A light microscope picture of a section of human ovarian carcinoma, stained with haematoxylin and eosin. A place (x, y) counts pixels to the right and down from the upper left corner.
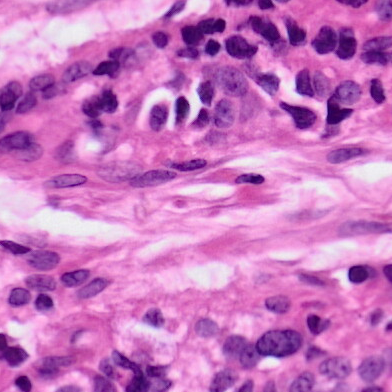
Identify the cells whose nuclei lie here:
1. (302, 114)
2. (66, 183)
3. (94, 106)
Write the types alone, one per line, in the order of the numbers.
carcinoma cell
endothelial cell
carcinoma cell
